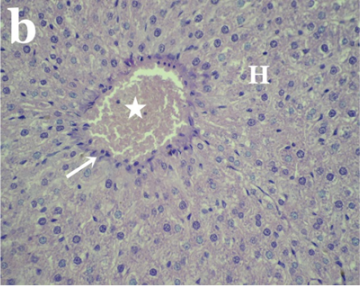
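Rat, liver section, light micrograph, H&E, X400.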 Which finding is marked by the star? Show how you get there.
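A vessel lumen in the middle of the field is filled with pink material rather than empty. The vessel is surrounded by plates of hepatocytes.
Congestion of blood vessel.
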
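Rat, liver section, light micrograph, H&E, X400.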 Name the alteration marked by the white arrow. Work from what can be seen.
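Small, dark, closely packed nuclei gather at the vessel wall where the arrow points. These nuclei are smaller and darker than the hepatocyte nuclei around them.
Hence: leucocytic infiltration.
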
